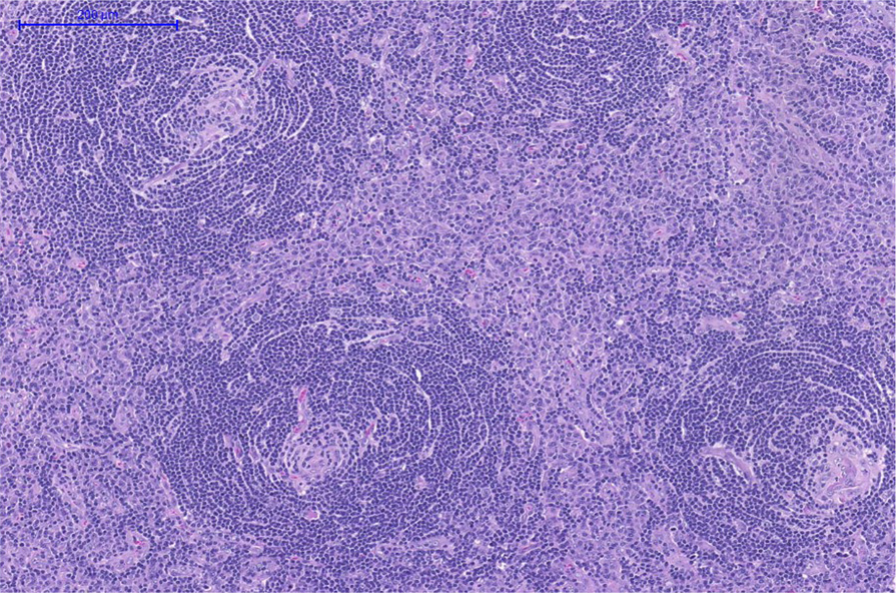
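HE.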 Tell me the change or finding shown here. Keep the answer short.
Castleman disease.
